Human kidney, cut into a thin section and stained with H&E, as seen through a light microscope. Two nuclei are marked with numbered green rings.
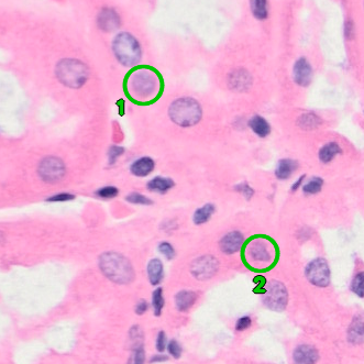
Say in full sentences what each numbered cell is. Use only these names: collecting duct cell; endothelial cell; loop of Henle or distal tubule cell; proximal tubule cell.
Cell 1 is a proximal tubule cell and cell 2 is a loop of Henle or distal tubule cell.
